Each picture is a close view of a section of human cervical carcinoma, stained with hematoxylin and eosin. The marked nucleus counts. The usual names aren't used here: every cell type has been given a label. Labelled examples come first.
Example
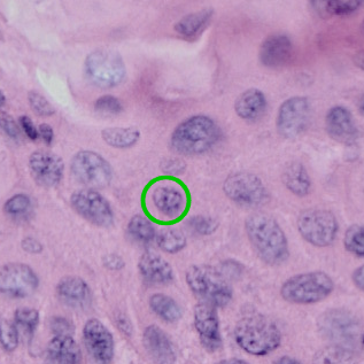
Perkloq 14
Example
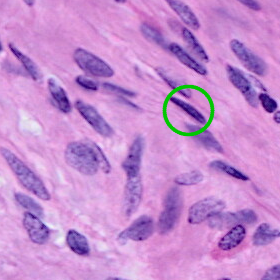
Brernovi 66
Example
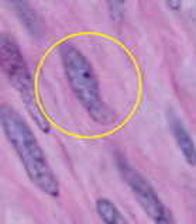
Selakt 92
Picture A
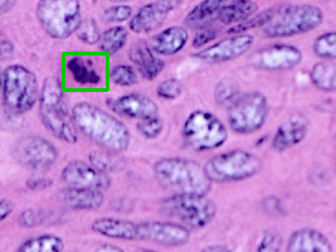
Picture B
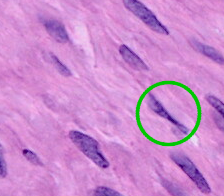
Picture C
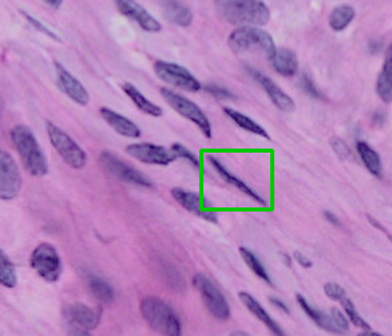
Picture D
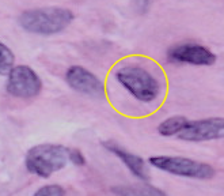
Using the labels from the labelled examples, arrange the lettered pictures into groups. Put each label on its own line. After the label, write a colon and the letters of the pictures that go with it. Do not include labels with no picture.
Perkloq 14: A
Brernovi 66: B, C, D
